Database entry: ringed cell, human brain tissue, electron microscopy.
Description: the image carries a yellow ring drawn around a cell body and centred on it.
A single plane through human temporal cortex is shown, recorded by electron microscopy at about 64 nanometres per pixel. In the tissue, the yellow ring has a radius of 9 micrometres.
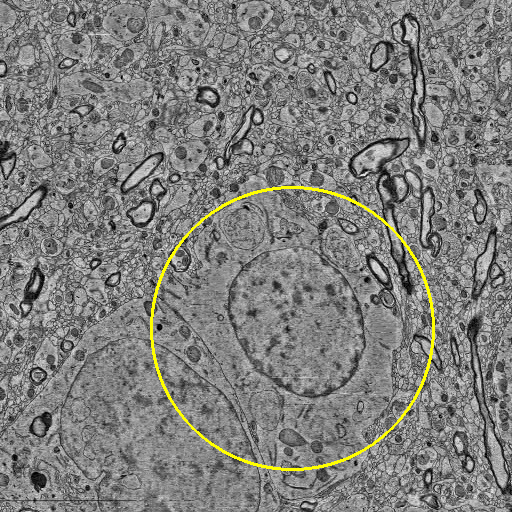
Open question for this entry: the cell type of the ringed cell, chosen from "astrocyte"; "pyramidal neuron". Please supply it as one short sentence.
The ringed cell is an astrocyte.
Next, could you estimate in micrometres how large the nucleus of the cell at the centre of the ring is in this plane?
About 10 by 8 micrometers for the nucleus, in this plane.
